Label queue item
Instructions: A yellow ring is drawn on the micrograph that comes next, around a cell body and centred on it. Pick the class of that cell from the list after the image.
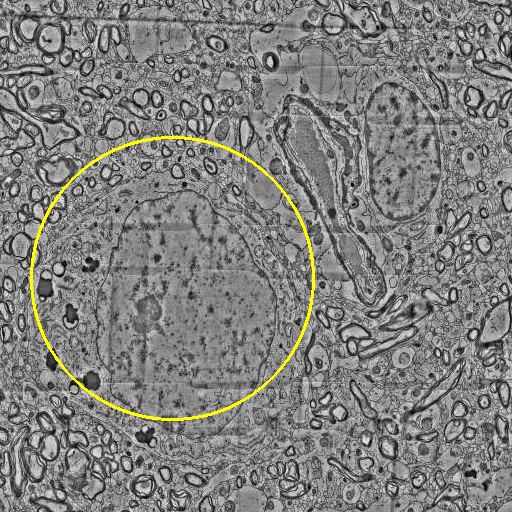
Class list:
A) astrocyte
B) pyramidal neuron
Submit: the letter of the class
B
